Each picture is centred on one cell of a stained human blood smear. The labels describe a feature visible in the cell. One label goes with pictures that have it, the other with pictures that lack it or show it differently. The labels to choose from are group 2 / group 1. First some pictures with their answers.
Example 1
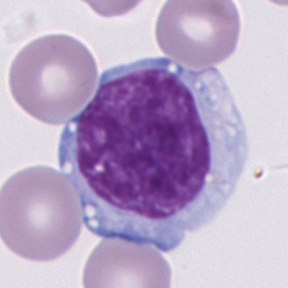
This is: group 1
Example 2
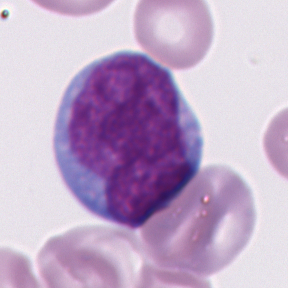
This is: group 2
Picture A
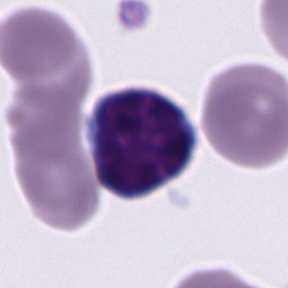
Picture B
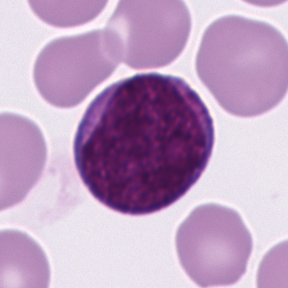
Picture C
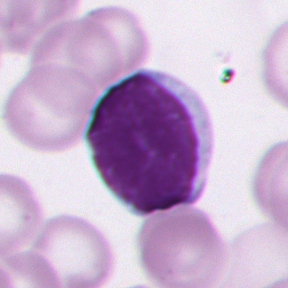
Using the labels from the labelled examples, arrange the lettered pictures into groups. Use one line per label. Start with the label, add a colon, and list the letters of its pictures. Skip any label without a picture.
group 2: A, B, C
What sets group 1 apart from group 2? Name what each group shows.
Seen in group 1: ragged outline or projections; seen in group 2: smooth outline.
